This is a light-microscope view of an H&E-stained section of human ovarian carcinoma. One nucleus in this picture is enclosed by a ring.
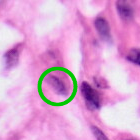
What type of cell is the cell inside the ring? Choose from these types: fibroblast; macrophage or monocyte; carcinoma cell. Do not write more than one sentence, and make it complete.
In this preparation, the cell inside the ring is a fibroblast.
